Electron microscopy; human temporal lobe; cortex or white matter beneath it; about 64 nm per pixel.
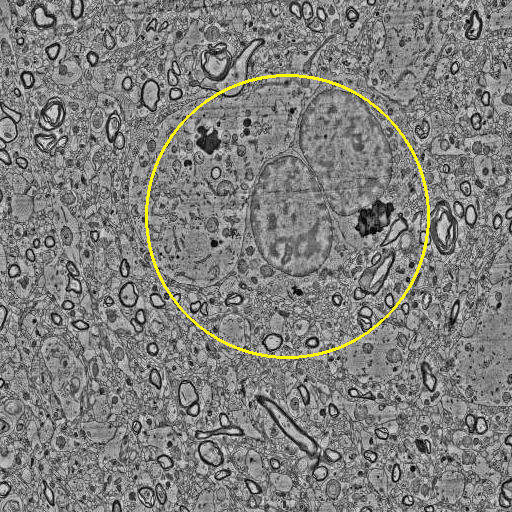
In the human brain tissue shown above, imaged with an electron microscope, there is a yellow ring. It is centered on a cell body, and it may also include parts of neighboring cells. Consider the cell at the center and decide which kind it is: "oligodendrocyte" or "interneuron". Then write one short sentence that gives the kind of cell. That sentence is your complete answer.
This centered cell body is that of an oligodendrocyte.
